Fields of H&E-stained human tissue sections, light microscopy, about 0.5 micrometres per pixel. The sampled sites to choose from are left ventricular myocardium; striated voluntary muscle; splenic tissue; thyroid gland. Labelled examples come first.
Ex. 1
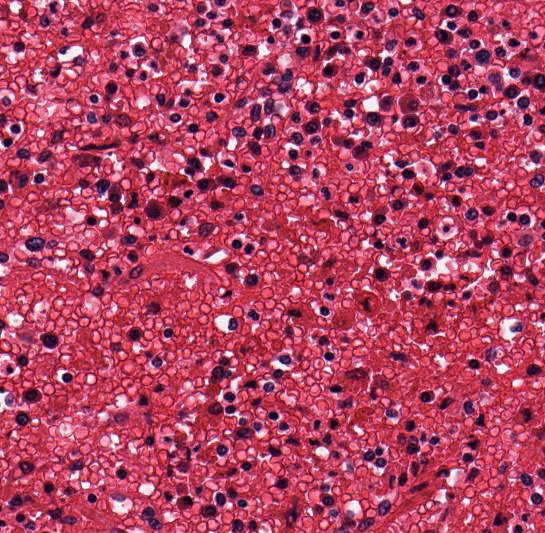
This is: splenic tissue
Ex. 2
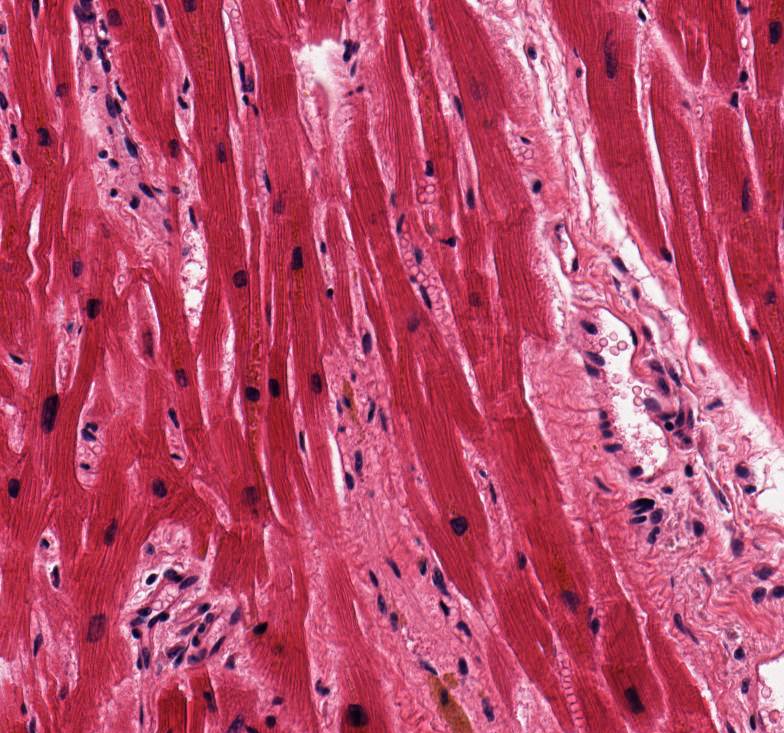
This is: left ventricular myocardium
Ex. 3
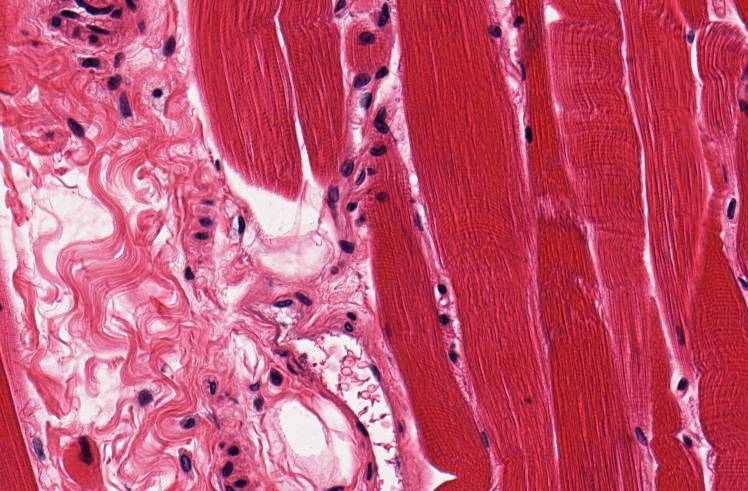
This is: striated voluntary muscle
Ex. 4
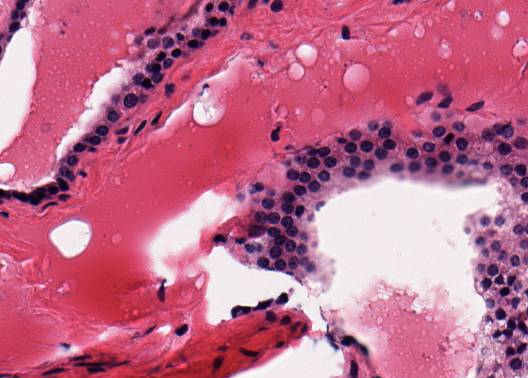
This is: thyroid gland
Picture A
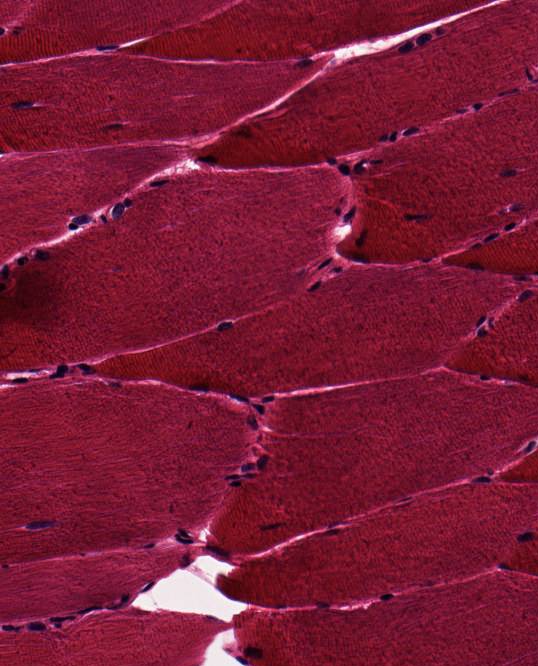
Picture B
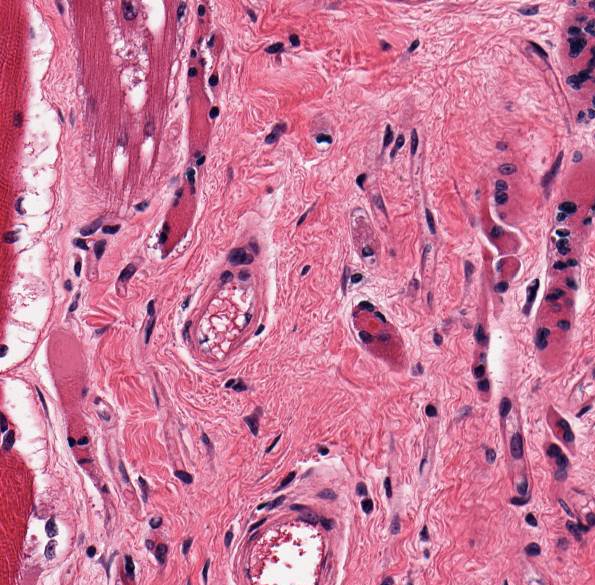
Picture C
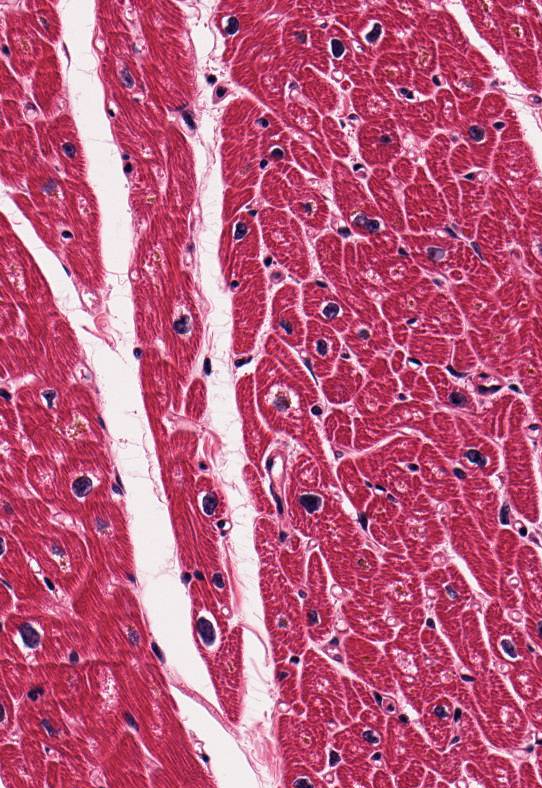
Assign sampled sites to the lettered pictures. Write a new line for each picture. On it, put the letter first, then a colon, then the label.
A: striated voluntary muscle
B: striated voluntary muscle
C: left ventricular myocardium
